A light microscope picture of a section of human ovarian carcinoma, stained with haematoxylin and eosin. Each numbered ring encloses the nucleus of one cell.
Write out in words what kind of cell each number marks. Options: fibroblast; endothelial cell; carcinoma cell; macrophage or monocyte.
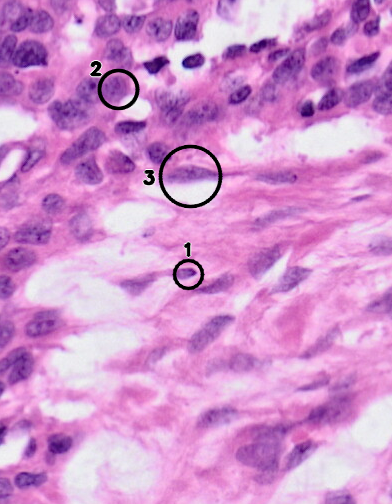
Cell 1 is a fibroblast, cell 2 is a carcinoma cell and cell 3 is a fibroblast.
